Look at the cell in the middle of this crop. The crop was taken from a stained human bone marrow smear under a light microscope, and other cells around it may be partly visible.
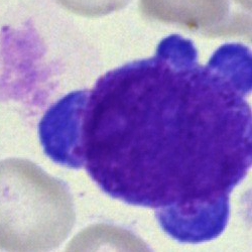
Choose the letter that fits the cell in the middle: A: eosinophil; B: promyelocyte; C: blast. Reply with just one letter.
C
